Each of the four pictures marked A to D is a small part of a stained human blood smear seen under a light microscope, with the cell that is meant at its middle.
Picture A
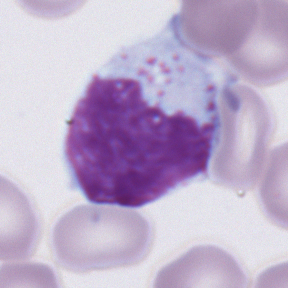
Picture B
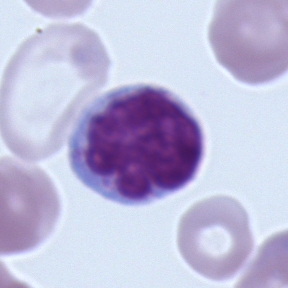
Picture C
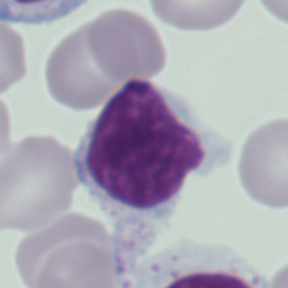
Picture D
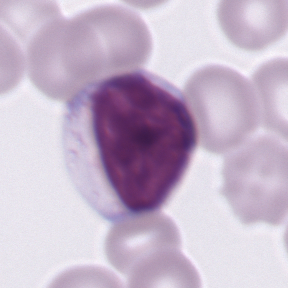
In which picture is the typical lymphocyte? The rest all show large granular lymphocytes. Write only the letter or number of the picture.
B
